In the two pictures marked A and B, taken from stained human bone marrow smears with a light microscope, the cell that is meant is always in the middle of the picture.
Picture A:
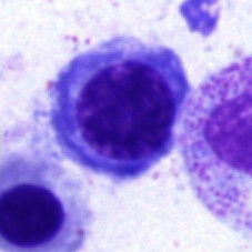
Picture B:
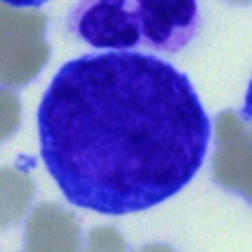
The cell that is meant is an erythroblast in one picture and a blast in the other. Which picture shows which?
A: erythroblast
B: blast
